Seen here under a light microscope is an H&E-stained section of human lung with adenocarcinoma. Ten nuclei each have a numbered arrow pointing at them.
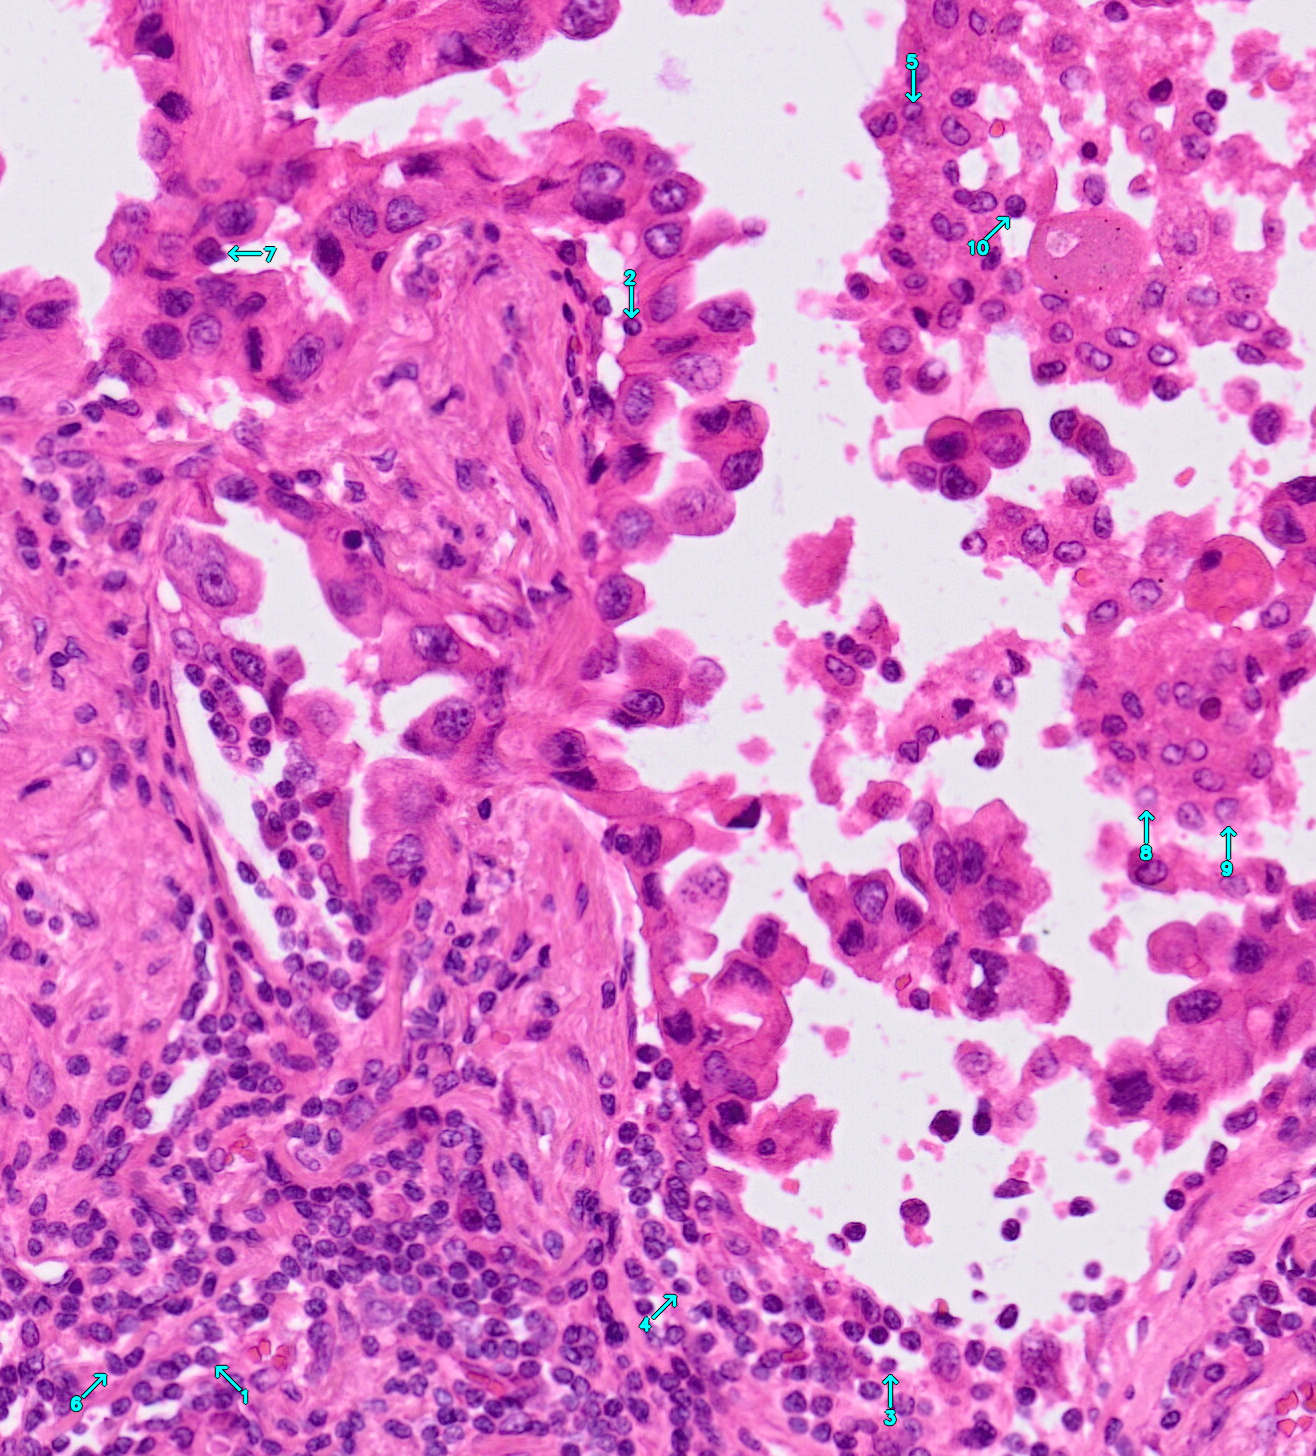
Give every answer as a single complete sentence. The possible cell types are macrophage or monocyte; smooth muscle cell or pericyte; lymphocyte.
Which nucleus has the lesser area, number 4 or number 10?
With nucleus 10 about 1.5 times its size, nucleus 4 is the smaller of the two.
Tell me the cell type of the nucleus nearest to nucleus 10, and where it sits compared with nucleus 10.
A macrophage or monocyte lies closest, to the left of nucleus 10.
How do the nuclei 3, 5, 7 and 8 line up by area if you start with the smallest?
Smallest first, the nuclei run 3, 5, 8, 7.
